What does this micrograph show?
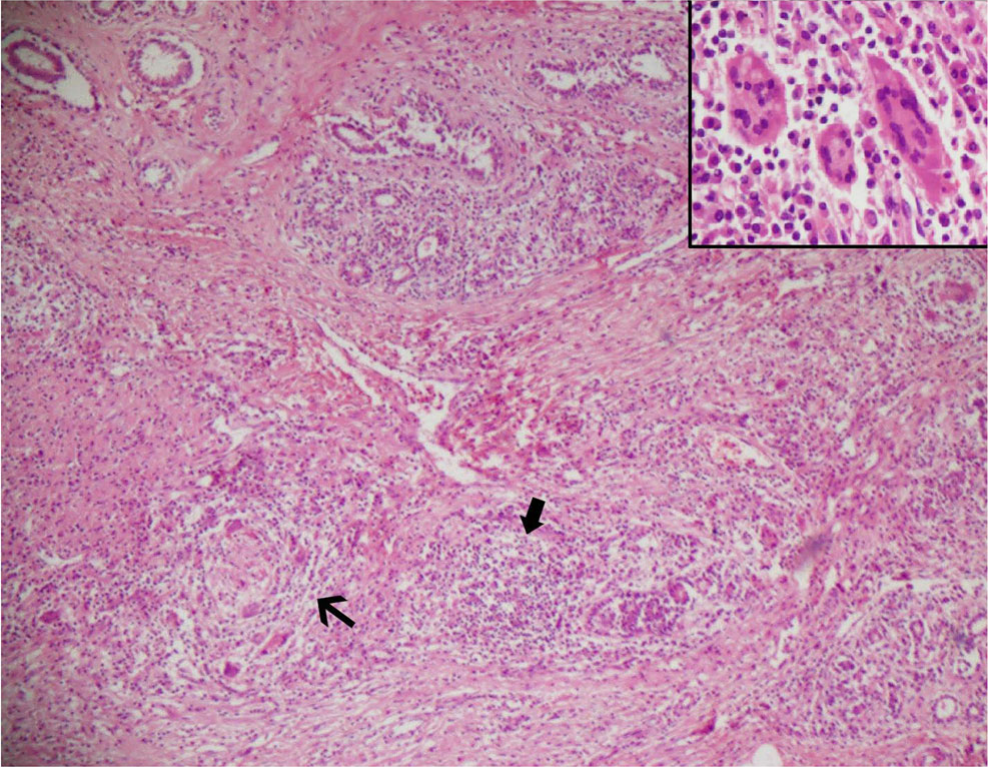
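Small ducts and glandular lobules with open lumens lie at the upper left, set in pink fibrous stroma. Much of the field is filled with dense collections of small dark round inflammatory nuclei that spread through the stroma. Within them are rounded, paler foci of loosely arranged pink cells forming early granulomas, with occasional large pink multinucleated cells scattered about. The inset at higher magnification shows several large giant cells with abundant pink cytoplasm and many nuclei, surrounded by small lymphocytes and plasma cells with round eccentric nuclei.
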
